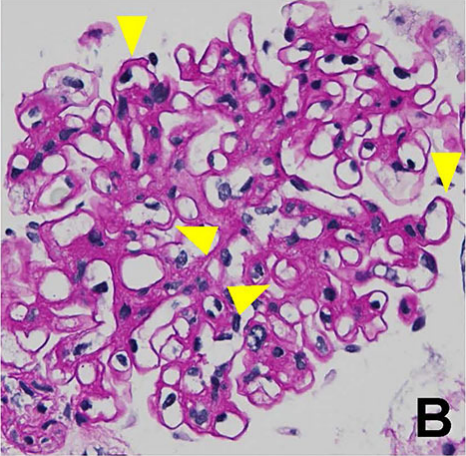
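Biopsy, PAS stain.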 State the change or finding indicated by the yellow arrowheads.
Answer: double contours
